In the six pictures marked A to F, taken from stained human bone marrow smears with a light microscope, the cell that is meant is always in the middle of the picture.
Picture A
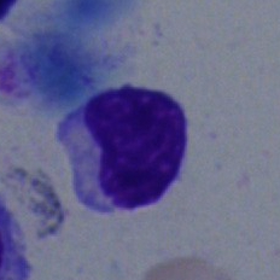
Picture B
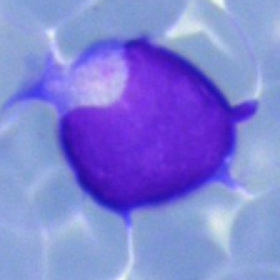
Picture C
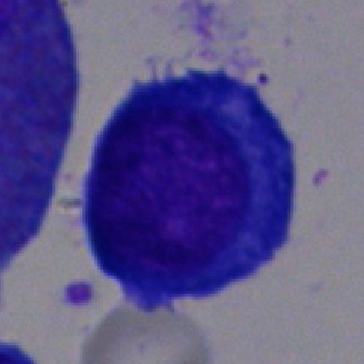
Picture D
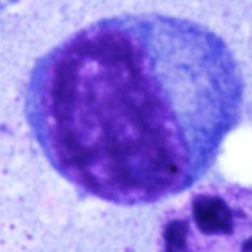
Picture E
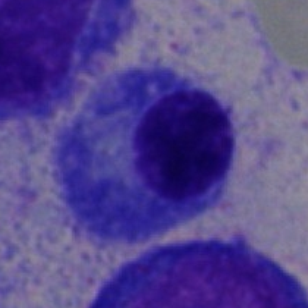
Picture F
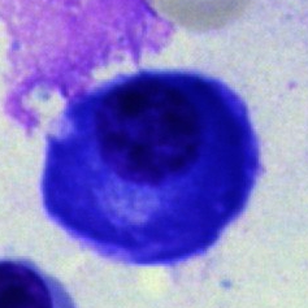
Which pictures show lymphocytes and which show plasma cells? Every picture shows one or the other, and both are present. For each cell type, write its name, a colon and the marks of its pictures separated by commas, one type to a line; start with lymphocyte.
lymphocyte: A, B
plasma cell: C, D, E, F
